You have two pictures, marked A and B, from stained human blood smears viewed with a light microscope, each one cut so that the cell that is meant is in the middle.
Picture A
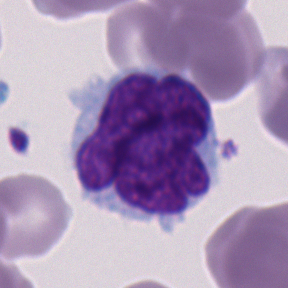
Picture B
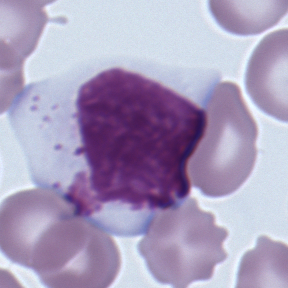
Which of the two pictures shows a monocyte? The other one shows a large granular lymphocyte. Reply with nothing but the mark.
A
